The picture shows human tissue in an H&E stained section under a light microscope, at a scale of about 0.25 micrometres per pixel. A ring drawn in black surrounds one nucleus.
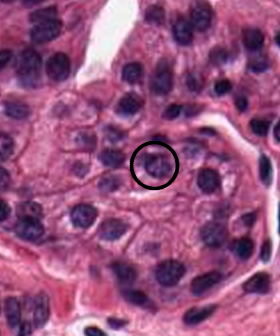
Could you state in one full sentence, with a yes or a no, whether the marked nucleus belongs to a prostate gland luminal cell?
Yes, the cell whose nucleus is marked is a prostate gland luminal cell.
